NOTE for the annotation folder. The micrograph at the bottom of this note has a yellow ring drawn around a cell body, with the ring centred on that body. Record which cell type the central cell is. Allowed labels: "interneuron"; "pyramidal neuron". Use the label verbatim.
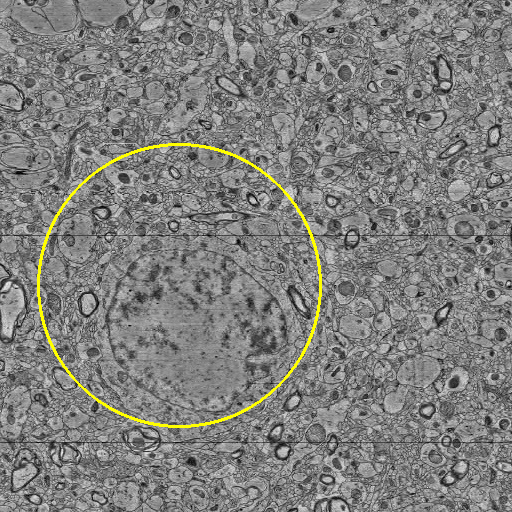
interneuron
